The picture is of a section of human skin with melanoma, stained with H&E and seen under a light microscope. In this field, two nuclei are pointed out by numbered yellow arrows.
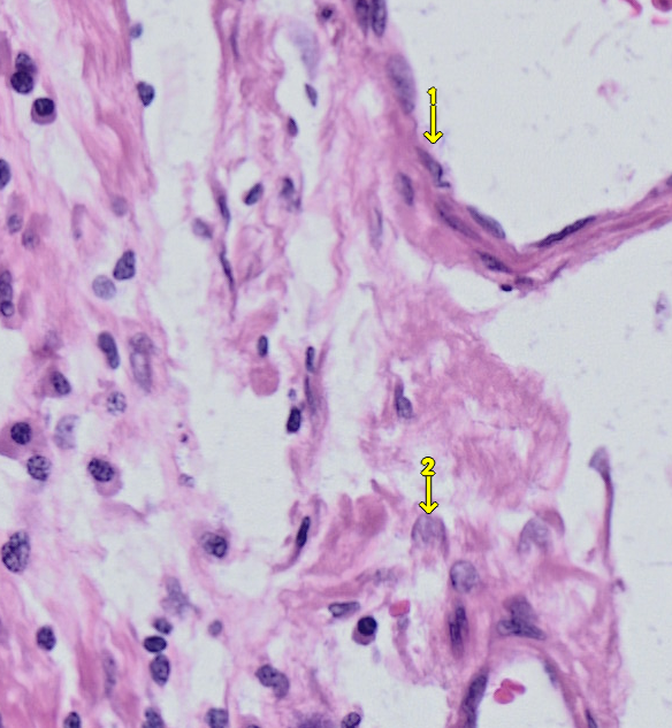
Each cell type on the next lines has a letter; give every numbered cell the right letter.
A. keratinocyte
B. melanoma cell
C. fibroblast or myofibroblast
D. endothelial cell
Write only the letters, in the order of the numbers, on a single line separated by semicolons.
D; C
